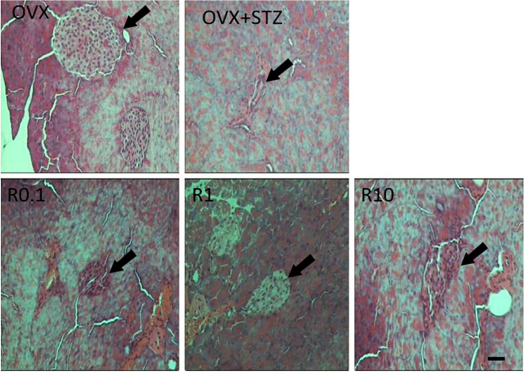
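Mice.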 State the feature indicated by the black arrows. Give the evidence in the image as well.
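Islets. In one image the arrowed cluster is large and round with densely packed small nuclei.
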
